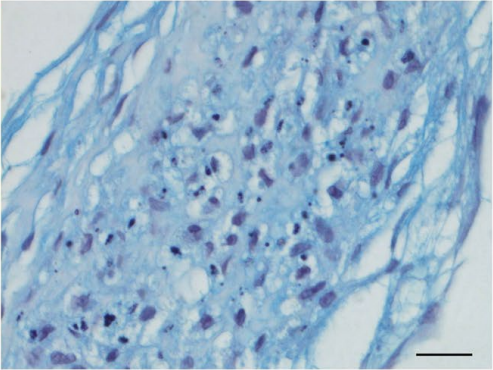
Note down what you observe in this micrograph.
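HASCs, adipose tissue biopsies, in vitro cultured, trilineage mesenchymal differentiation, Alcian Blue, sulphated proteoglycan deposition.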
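This section shows chondroblast-like cells embedded in a pale blue-stained matrix. The nuclei are purple, rounded to oval, and many sit within clear, bubbly spaces resembling lacunae. Strands of blue fibrous matrix run around the cell clusters, especially along the edges of the tissue.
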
